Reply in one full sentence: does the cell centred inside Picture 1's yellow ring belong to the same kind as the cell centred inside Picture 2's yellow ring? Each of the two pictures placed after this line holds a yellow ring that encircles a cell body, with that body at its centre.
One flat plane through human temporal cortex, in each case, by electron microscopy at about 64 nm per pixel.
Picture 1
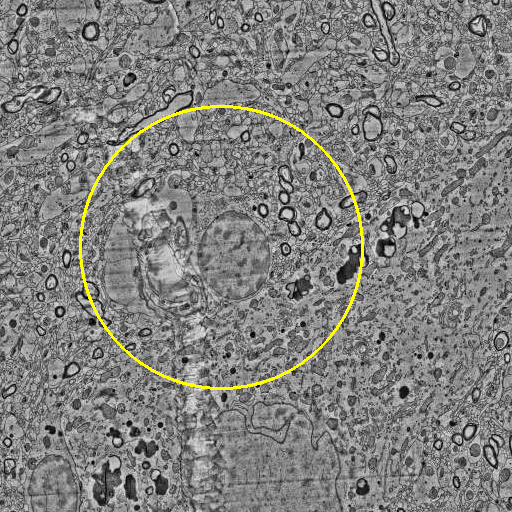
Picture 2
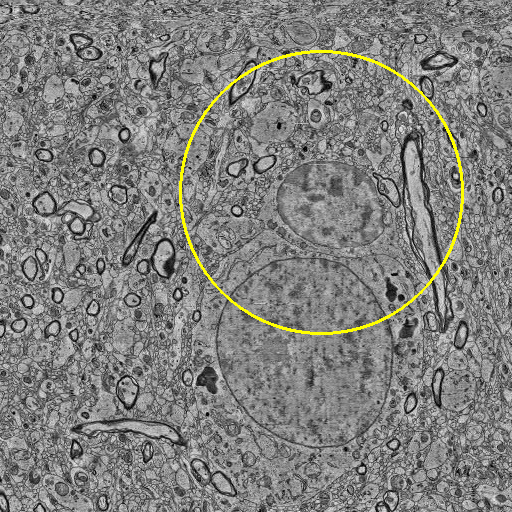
Yes, the ring-centred cells in Picture 1 and Picture 2 are of one and the same kind.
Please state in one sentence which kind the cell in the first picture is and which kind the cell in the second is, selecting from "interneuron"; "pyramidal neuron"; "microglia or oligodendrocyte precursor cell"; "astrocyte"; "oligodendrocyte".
The second cell is an oligodendrocyte, just as the first is.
